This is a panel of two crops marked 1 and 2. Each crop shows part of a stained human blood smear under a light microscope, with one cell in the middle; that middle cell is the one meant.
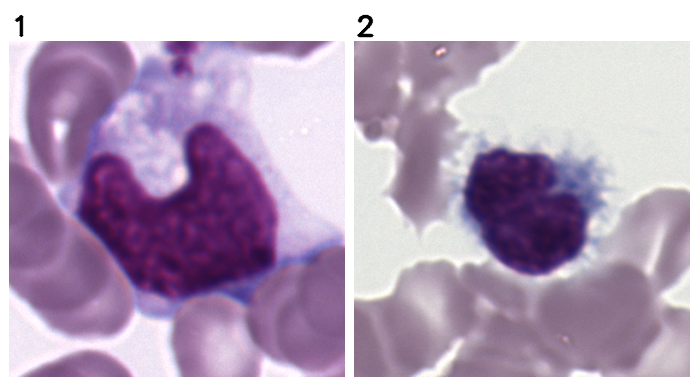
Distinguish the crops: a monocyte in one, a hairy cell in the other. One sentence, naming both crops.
Crop 1 and crop 2 are a monocyte and a hairy cell, in that order.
